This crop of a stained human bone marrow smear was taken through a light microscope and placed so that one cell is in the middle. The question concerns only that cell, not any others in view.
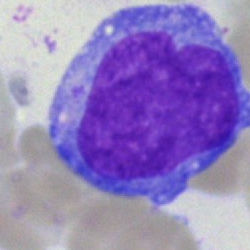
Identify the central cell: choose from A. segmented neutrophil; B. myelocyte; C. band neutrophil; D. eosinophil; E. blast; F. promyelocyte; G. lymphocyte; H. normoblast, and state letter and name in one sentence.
In the middle of the crop is a blast; option E is therefore correct.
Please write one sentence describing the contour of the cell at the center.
The cell margin is rough and uneven, either ragged or drawn into projections.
